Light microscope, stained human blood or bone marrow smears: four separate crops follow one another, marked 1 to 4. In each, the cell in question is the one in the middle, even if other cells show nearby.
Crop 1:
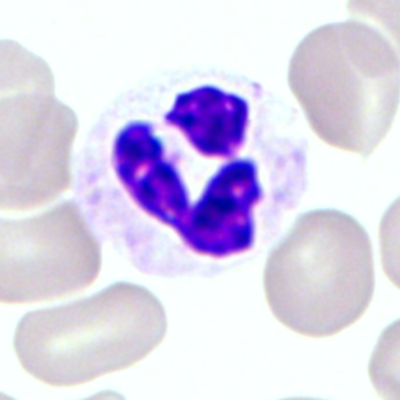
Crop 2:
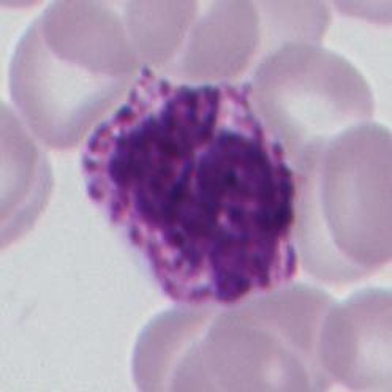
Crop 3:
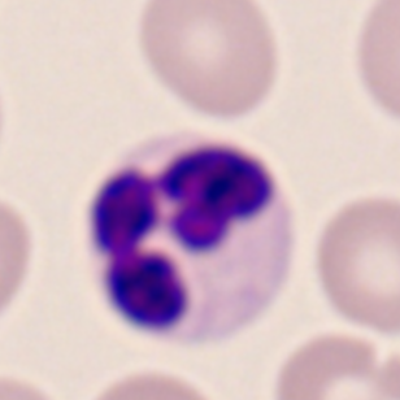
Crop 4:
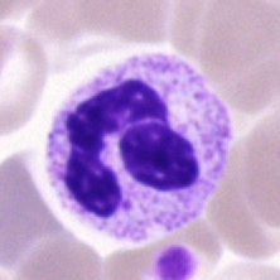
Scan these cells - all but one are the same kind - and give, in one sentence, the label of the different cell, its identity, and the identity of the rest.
The rest of the crops show segmented neutrophils; crop 2 is the one showing a basophil.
